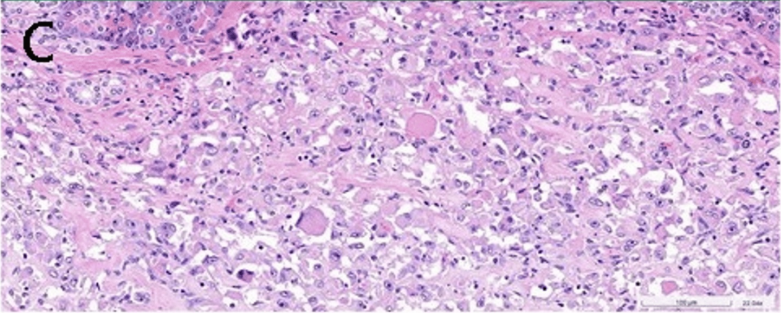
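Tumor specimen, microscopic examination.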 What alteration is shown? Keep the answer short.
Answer: Abundant eosinophilic cytoplasm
